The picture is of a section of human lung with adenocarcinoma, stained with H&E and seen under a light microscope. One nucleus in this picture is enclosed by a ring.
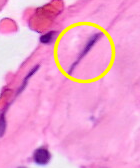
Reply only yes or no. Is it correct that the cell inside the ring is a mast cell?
no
